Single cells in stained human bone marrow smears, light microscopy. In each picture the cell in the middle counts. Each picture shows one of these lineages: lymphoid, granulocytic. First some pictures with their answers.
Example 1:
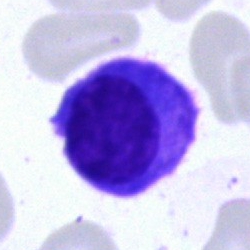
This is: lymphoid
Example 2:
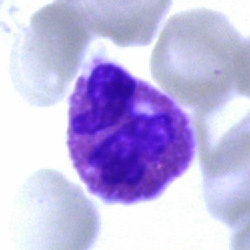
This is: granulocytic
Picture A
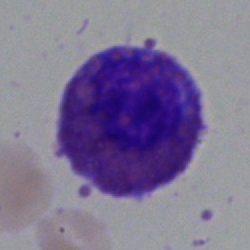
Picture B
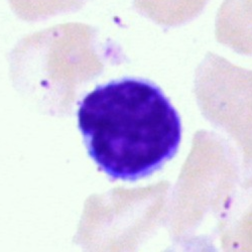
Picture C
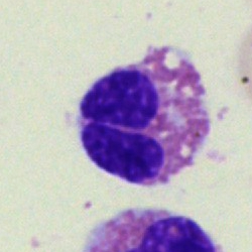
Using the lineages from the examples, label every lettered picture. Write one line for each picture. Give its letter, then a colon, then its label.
A: granulocytic
B: lymphoid
C: granulocytic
